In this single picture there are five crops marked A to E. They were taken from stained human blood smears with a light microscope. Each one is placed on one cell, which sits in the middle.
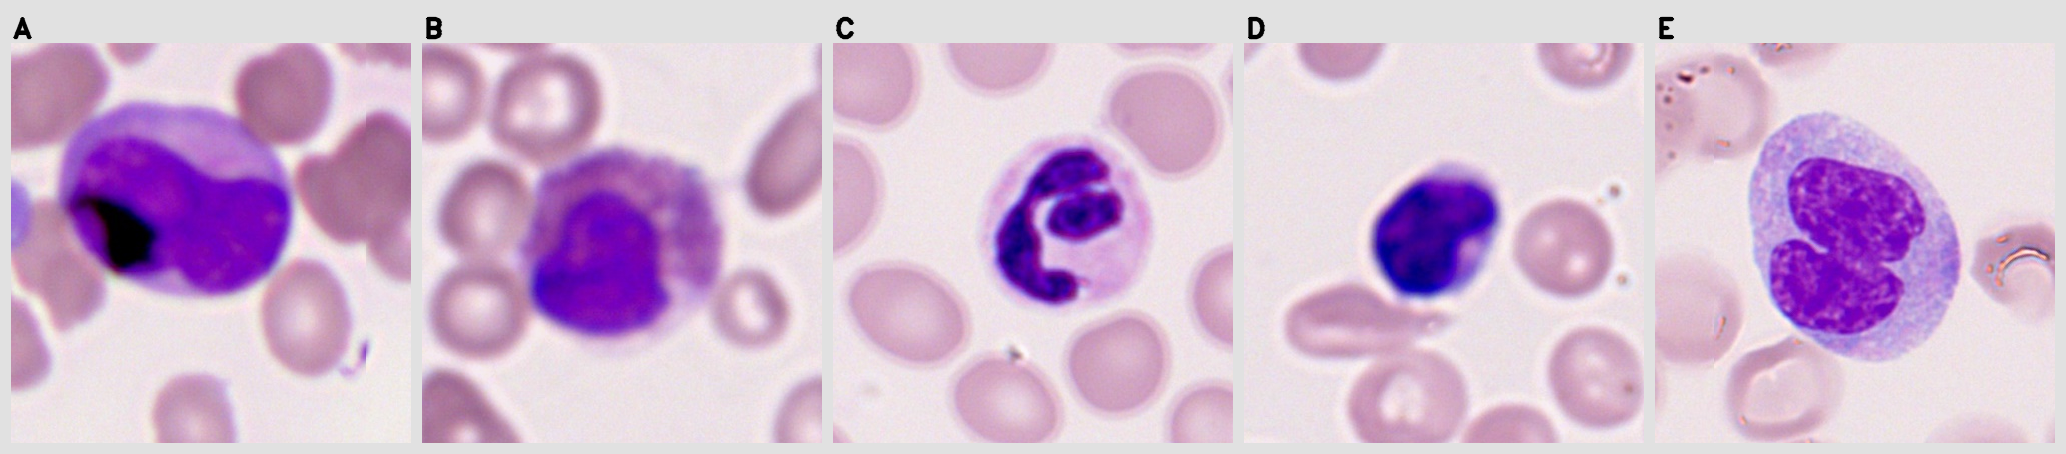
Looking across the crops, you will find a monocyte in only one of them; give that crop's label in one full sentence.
It is the cell in crop E that is a monocyte.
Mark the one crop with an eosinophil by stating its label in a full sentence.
Within this set, crop B is the one with an eosinophil at its center.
